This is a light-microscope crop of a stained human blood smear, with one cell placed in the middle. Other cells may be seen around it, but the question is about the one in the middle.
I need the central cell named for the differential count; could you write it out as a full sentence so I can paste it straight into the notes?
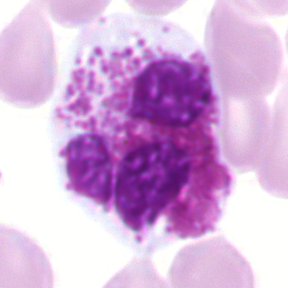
The cell centered in this field of view is an eosinophil.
